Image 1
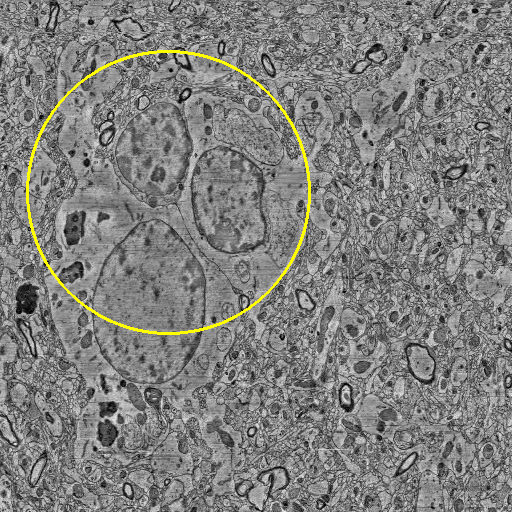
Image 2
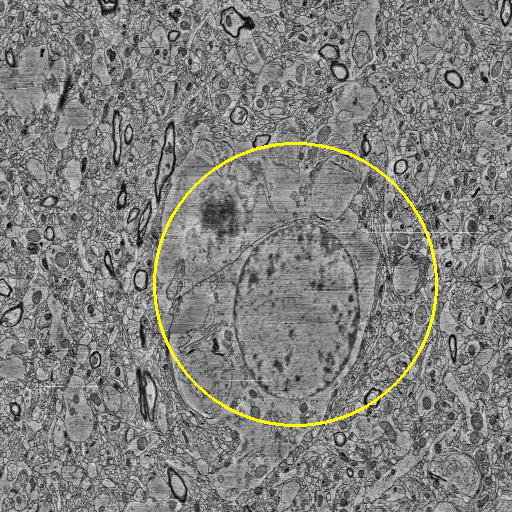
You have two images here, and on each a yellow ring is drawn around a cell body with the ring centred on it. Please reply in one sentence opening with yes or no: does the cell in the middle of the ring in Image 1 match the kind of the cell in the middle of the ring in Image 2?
No, the two images show cells of two kinds at the centres of their rings.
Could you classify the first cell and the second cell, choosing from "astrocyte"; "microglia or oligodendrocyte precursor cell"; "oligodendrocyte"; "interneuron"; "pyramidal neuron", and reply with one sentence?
The second cell is an astrocyte, while the first is an oligodendrocyte.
